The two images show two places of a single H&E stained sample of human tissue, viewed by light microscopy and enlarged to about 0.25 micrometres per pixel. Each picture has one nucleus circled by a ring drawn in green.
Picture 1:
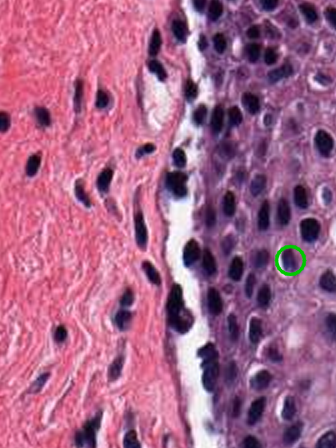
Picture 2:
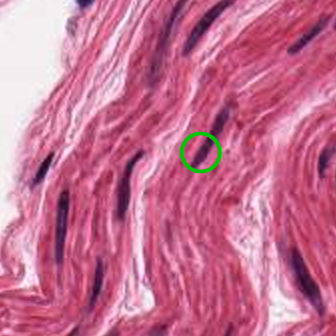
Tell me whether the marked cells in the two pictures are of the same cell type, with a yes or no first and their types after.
No, the first is a squamous epithelial cell and the second a smooth muscle cell.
